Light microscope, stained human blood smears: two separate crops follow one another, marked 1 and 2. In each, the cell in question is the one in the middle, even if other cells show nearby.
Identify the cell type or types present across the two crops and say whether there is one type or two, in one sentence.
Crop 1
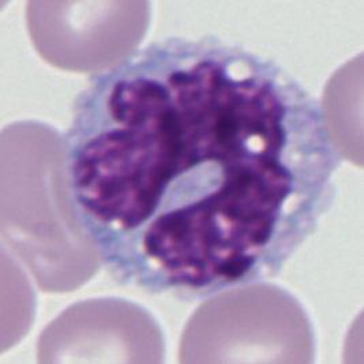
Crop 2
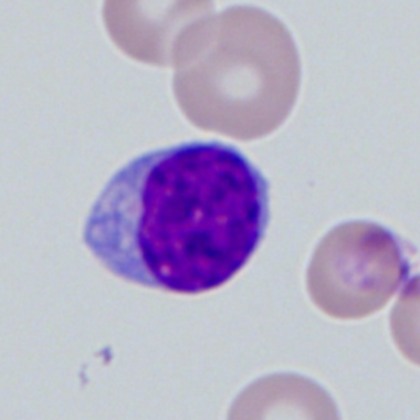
No, crop 1 has a monocyte at its center, and crop 2 has a lymphocyte.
